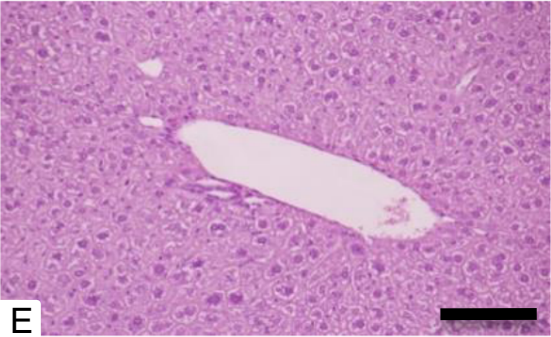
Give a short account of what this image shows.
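Liver tissue is shown with a large, empty, thin-walled vessel crossing the field, surrounded by hepatocytes. The hepatocytes form cords of polygonal cells with pale pink cytoplasm and round purple nuclei, several clearly larger than their neighbours. Sinusoidal spaces between the cords are narrow. The architecture looks regular and intact, with no visible necrosis, inflammatory infiltrate or fatty vacuoles.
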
